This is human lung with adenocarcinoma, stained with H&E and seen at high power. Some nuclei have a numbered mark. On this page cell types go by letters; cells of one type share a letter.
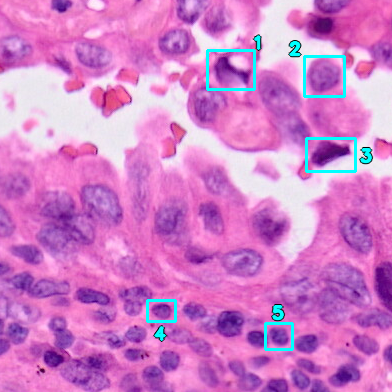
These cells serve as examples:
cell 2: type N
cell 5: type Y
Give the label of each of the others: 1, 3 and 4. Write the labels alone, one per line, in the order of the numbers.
type N
type N
type Y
